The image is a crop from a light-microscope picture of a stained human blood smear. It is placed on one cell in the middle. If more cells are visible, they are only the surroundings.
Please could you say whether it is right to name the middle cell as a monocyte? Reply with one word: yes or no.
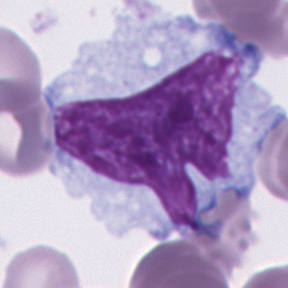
yes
